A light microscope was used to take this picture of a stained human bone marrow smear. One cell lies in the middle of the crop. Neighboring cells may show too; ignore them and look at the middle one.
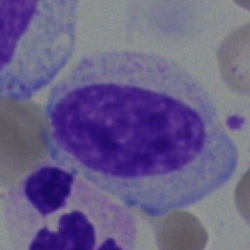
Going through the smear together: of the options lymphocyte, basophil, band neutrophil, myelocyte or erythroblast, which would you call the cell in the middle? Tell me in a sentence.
The middle of this crop is occupied by a myelocyte.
